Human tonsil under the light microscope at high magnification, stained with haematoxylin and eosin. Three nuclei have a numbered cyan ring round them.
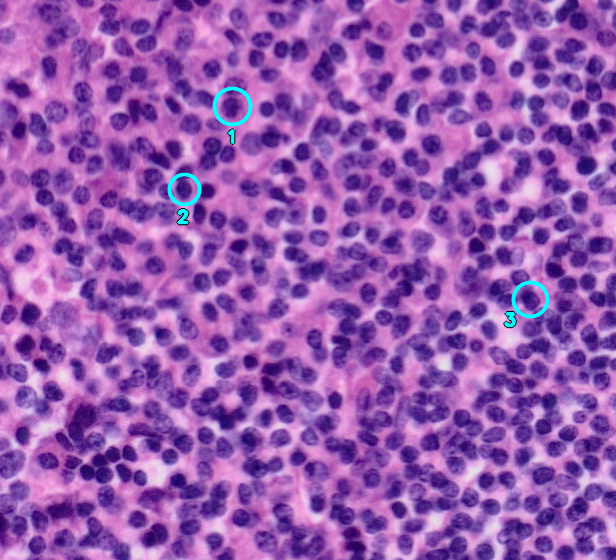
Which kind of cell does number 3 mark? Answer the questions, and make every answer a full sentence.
In this section, the cell tagged 3 is a small lymphocyte.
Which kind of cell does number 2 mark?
Cell 2 is classified as a small lymphocyte.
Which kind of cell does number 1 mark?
The cell that carries the label 1 is a plasma cell.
